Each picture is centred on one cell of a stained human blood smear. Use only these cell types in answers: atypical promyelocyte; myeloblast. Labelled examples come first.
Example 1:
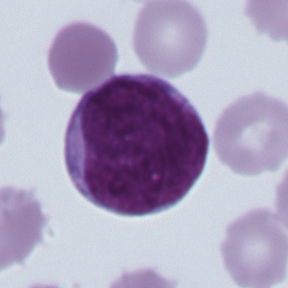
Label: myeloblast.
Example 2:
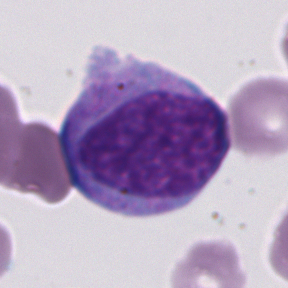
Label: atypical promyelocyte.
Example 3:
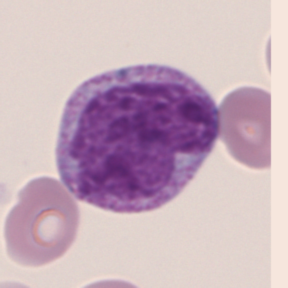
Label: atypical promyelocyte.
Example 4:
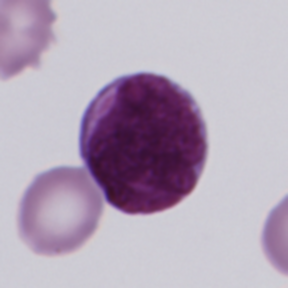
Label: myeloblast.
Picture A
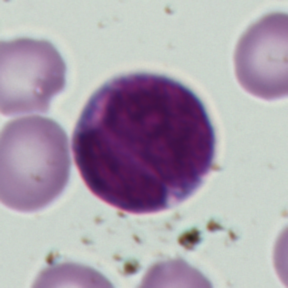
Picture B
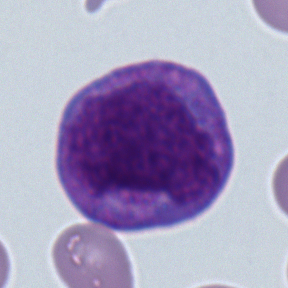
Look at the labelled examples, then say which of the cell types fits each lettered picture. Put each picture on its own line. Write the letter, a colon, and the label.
A: myeloblast.
B: atypical promyelocyte.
